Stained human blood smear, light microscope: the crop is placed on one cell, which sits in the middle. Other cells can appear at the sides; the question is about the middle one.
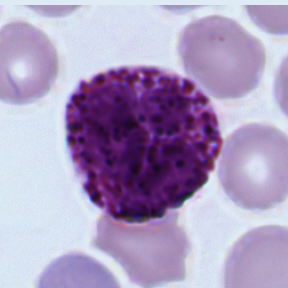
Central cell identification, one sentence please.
Answering briefly, the cell in the middle is a basophil.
